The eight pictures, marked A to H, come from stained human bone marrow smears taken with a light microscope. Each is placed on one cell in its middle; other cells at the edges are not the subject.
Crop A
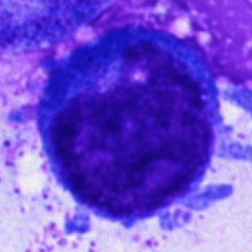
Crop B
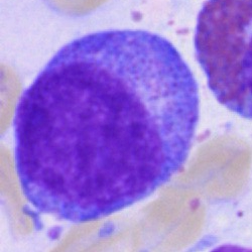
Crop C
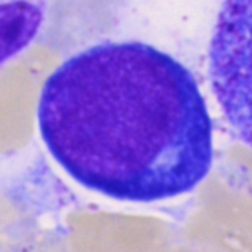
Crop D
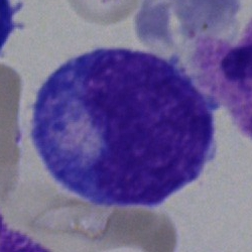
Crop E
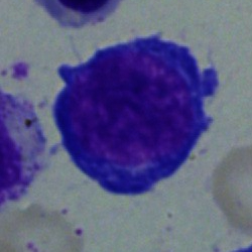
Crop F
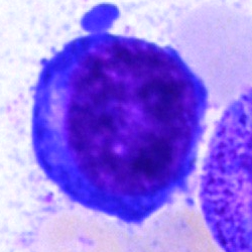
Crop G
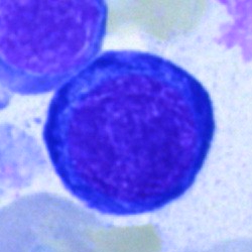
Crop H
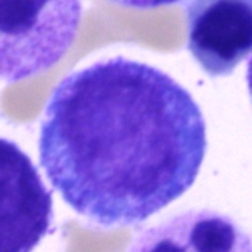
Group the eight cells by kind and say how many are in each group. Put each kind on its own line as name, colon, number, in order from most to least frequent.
proerythroblast: 5
promyelocyte: 3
